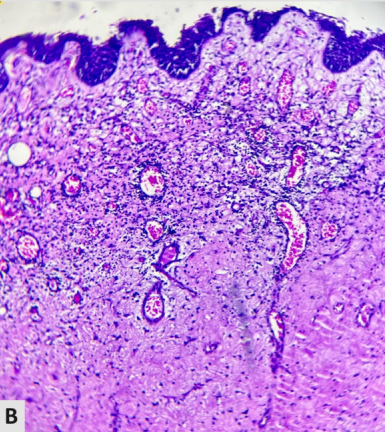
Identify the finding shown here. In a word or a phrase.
Dilated capillaries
